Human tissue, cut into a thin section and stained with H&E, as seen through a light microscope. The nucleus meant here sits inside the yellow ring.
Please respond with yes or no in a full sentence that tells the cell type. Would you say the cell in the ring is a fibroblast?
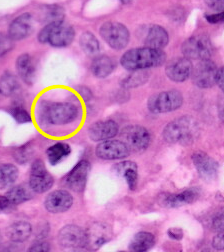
No, just to correct that, the cell in the ring is a carcinoma cell and not a fibroblast.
